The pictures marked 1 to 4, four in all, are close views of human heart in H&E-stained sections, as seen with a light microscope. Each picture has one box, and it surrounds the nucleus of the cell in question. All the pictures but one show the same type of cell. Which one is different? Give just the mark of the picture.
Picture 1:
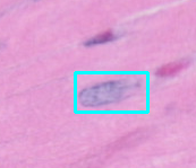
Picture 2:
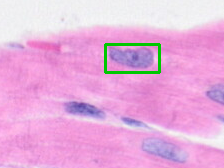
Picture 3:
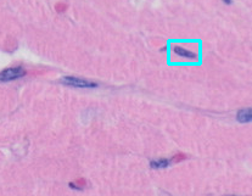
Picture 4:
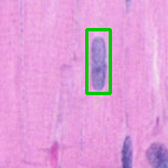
3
